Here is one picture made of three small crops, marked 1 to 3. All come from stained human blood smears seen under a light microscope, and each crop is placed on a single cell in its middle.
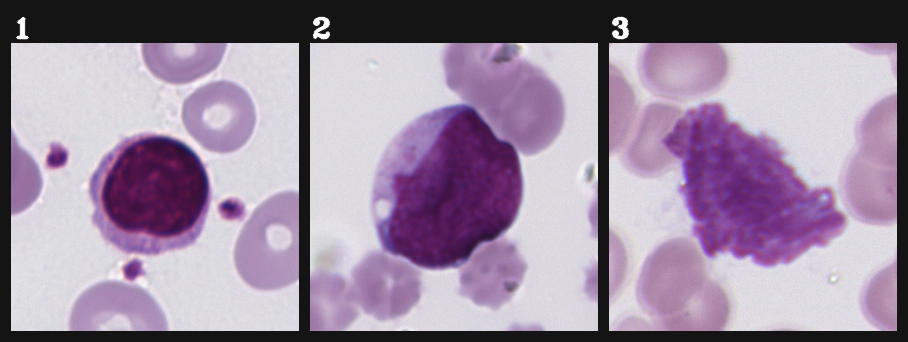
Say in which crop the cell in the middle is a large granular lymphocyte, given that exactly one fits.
1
